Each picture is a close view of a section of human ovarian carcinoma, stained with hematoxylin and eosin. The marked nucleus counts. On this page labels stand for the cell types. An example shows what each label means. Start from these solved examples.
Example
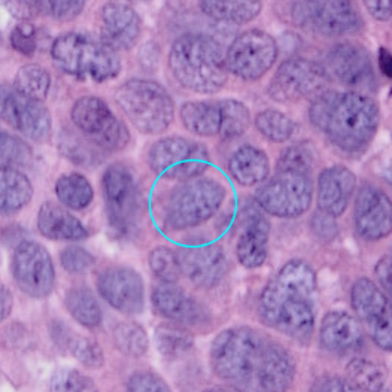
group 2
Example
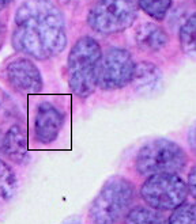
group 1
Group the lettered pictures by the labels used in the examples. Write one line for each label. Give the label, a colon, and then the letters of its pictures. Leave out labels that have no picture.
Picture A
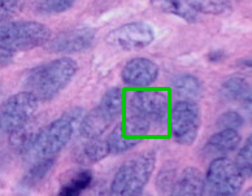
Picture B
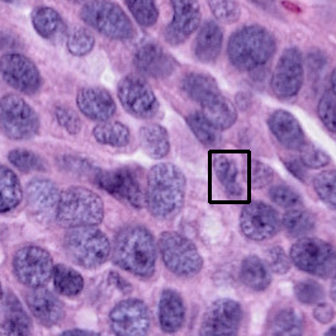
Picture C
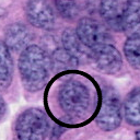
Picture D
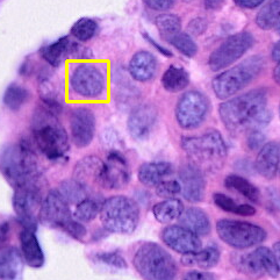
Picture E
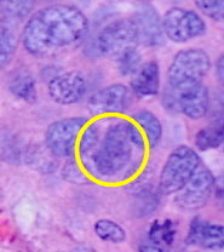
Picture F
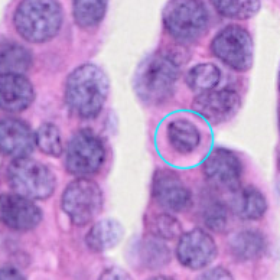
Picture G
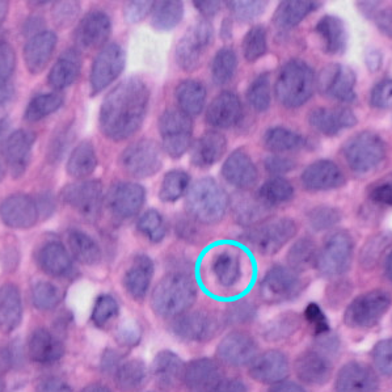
group 2: A, C, D, E
group 1: B, F, G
